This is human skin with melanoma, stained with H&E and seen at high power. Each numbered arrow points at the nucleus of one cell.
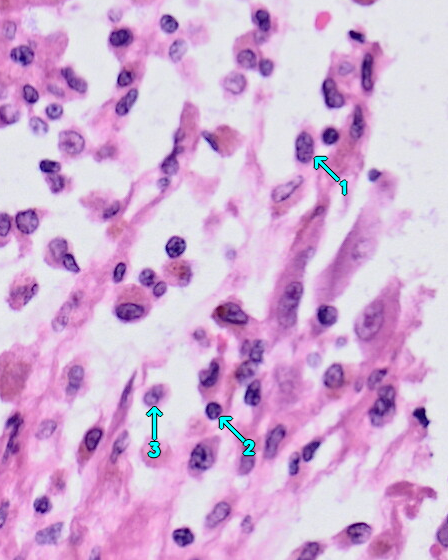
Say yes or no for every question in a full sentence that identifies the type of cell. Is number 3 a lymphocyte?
No, the cell referred to as 3 is a macrophage or monocyte, not a lymphocyte.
